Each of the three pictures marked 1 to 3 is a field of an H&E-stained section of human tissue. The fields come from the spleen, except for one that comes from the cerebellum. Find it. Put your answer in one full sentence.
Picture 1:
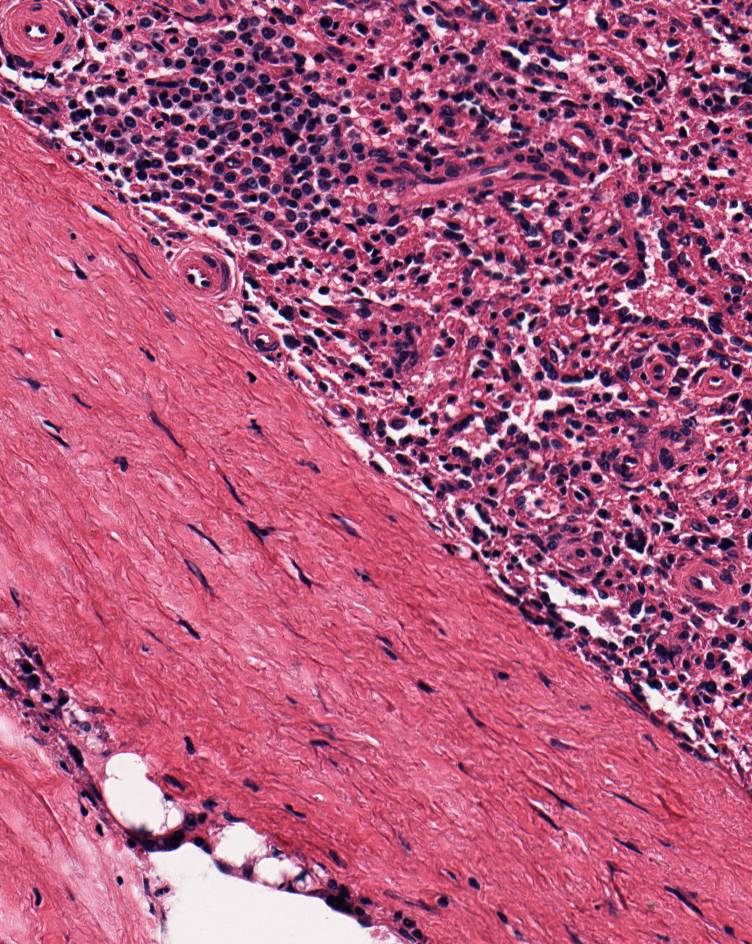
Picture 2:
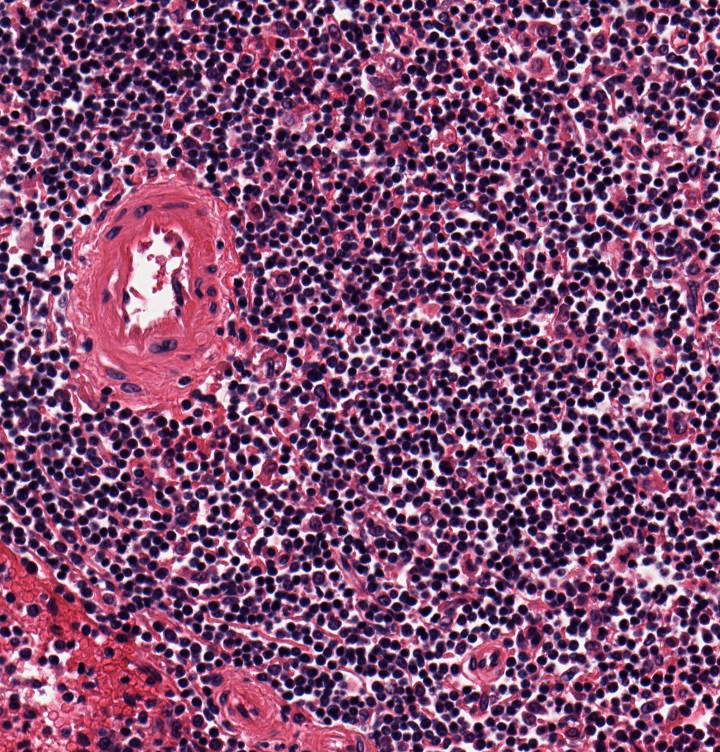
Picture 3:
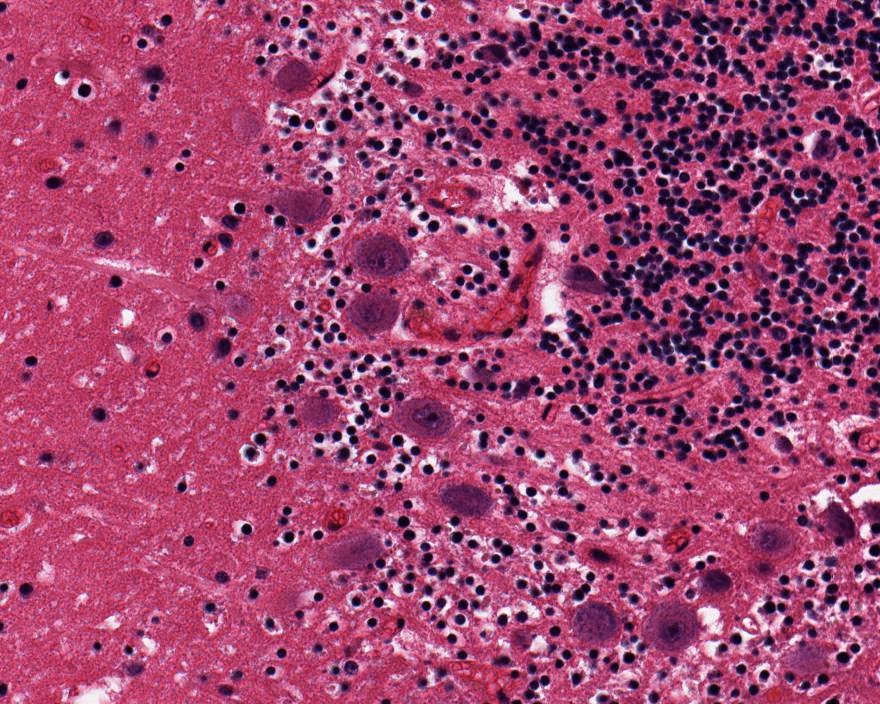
Picture 3 comes from the cerebellum.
